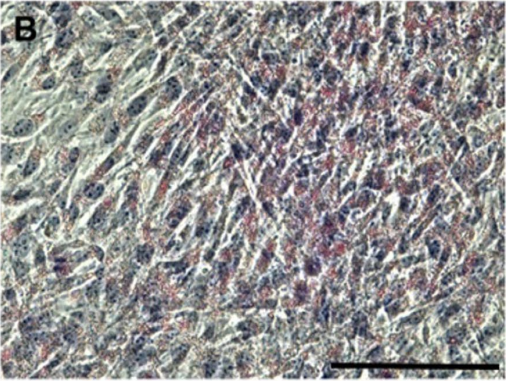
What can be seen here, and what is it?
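The cells are packed closely, many elongated or polygonal, with oval nuclei stained dark blue. Fine red granules are scattered in the cytoplasm around the nuclei, more abundant in some cells than others. Between the droplet-bearing cells are paler, spindle-shaped cells with little red stain.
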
